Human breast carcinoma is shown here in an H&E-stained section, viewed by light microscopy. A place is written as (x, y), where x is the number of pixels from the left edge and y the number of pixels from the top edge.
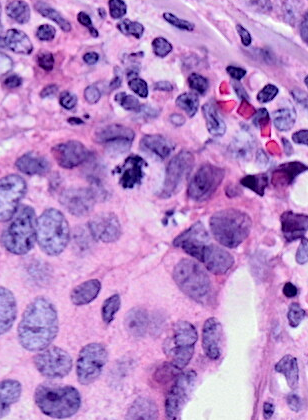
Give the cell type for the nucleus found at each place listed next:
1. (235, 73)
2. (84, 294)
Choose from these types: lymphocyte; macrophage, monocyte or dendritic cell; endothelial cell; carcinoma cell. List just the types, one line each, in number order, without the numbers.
lymphocyte
carcinoma cell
